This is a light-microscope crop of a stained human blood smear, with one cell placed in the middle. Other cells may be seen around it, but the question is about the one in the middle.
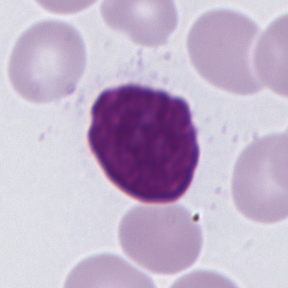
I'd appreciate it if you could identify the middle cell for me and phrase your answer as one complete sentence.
For this crop, the cell in the middle is a smudge cell.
